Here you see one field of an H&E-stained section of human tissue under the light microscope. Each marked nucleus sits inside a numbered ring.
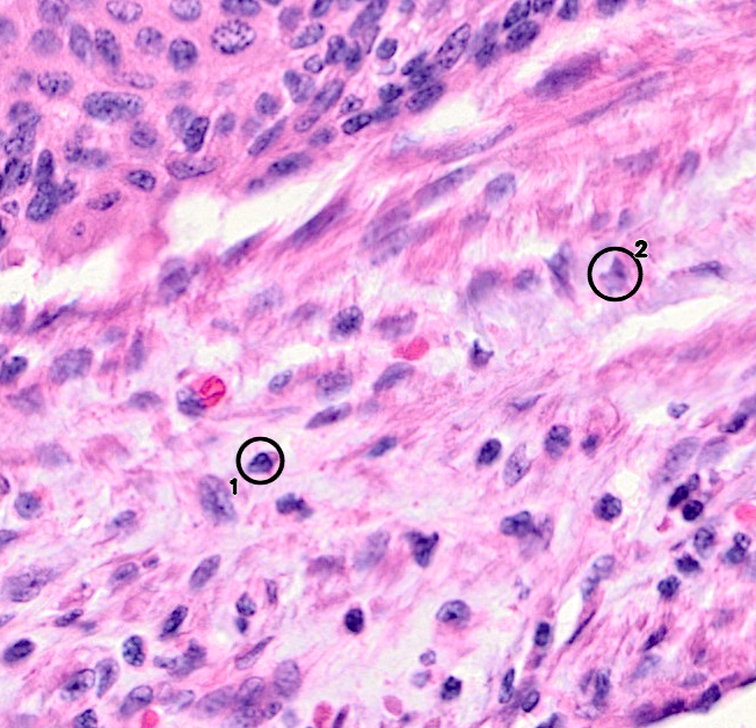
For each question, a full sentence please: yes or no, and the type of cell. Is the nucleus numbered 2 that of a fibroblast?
Yes, a fibroblast is what the cell numbered 2 is.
